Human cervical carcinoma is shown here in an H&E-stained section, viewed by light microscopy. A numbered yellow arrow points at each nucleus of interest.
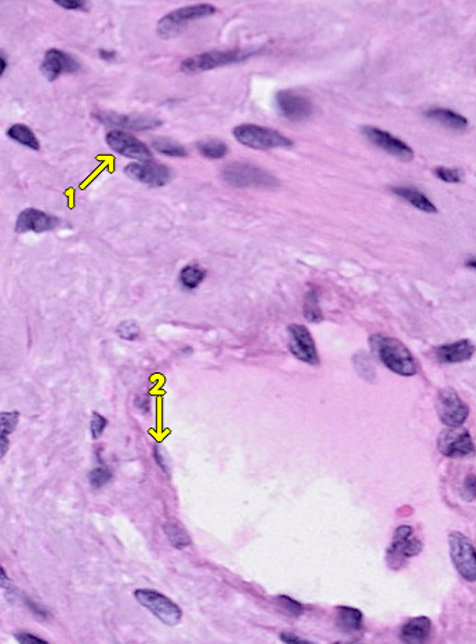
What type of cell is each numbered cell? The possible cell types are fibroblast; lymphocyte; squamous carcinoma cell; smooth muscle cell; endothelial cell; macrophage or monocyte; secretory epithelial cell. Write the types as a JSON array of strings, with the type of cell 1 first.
["fibroblast", "endothelial cell"]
